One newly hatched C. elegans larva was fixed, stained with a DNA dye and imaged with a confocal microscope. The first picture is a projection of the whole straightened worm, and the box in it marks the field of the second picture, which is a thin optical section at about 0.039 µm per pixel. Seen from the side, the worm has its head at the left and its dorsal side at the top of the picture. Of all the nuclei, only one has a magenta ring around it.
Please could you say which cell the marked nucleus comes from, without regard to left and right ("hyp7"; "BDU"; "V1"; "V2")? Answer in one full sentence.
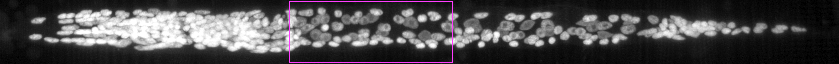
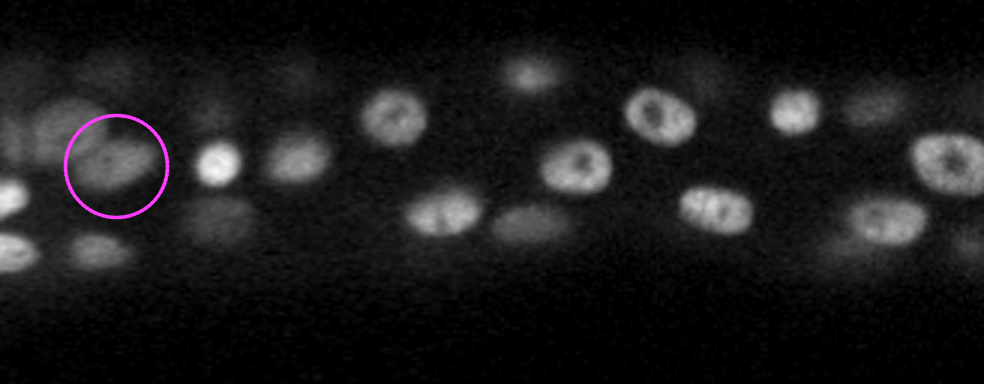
The marked nucleus is that of hyp7, a hypodermal cell (hyp).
